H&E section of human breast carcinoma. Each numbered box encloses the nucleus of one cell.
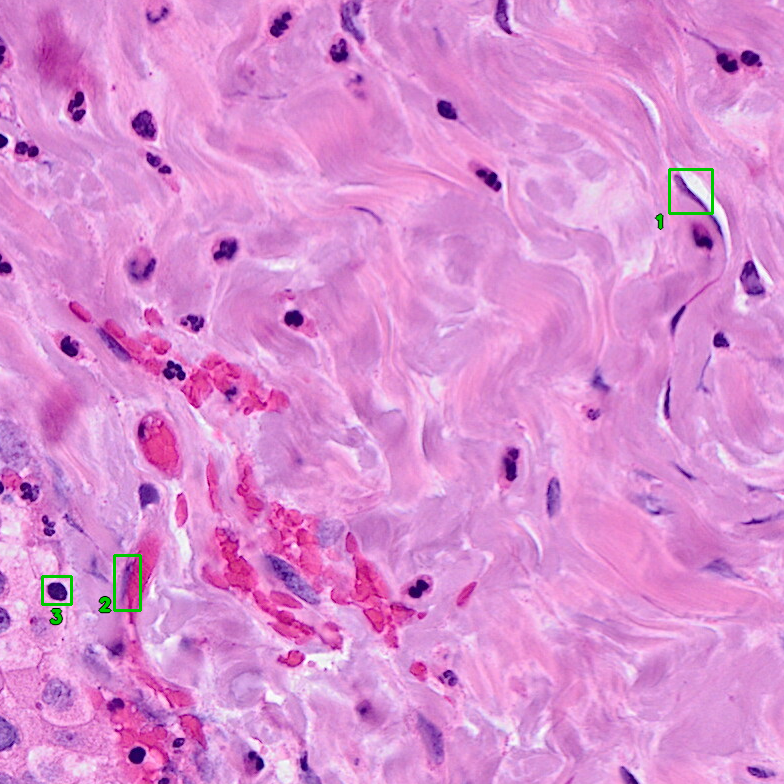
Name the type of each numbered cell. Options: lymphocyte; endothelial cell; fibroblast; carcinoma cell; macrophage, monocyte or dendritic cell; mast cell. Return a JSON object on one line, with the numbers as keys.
{"1": "fibroblast", "2": "endothelial cell", "3": "lymphocyte"}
